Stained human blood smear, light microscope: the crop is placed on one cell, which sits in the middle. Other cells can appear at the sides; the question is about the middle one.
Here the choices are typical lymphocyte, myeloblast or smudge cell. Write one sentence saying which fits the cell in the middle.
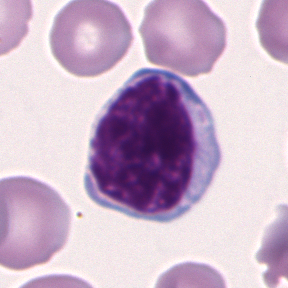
To answer, the cell in the center of the crop is a typical lymphocyte.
